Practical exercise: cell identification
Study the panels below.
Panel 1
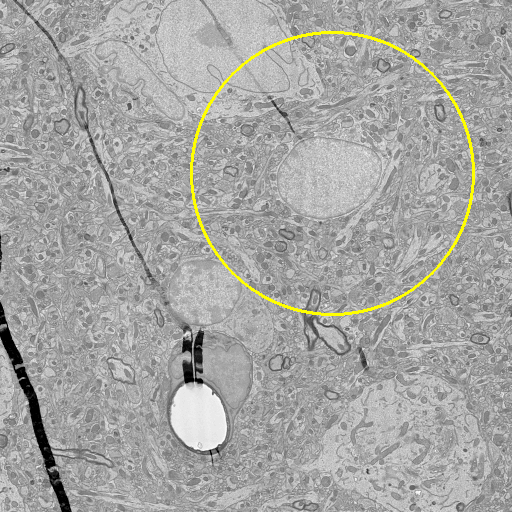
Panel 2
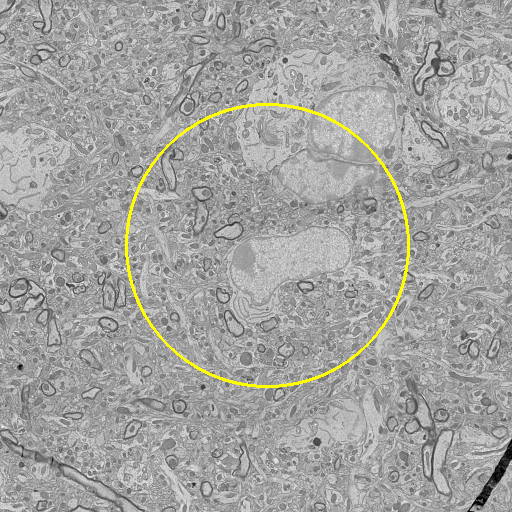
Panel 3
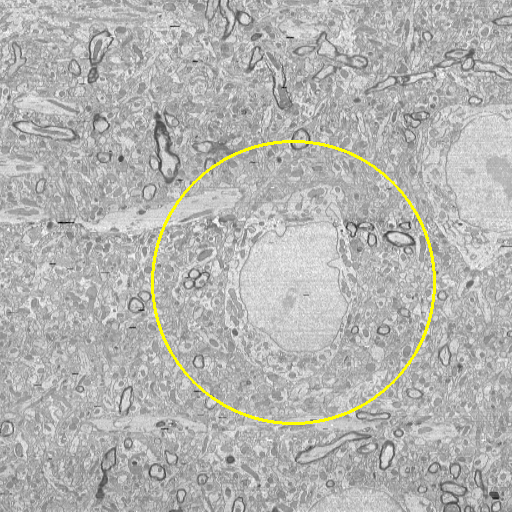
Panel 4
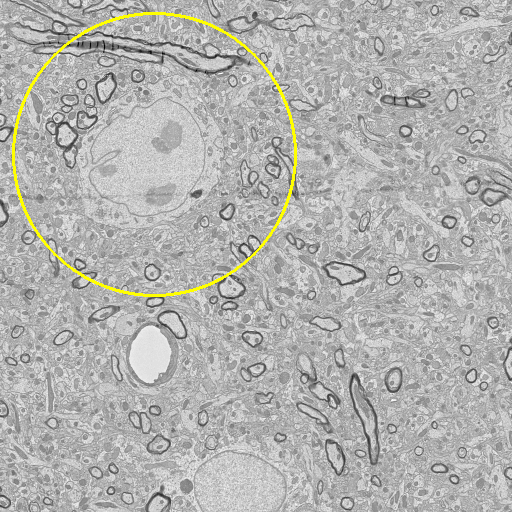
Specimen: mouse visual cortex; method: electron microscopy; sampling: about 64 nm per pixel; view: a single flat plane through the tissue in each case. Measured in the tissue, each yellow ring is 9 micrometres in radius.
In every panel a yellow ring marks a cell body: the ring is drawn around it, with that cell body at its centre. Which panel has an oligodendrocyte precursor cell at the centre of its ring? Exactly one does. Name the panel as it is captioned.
Panel 2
